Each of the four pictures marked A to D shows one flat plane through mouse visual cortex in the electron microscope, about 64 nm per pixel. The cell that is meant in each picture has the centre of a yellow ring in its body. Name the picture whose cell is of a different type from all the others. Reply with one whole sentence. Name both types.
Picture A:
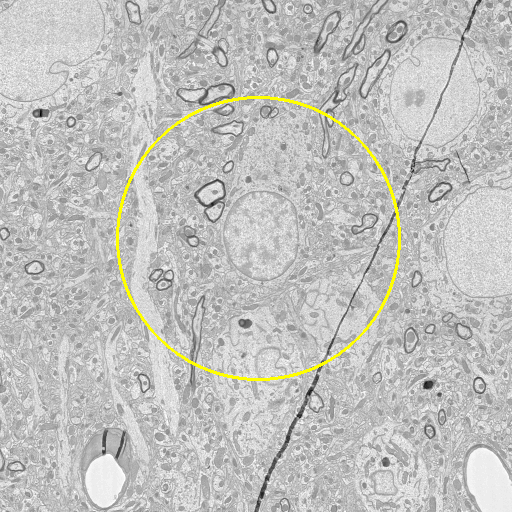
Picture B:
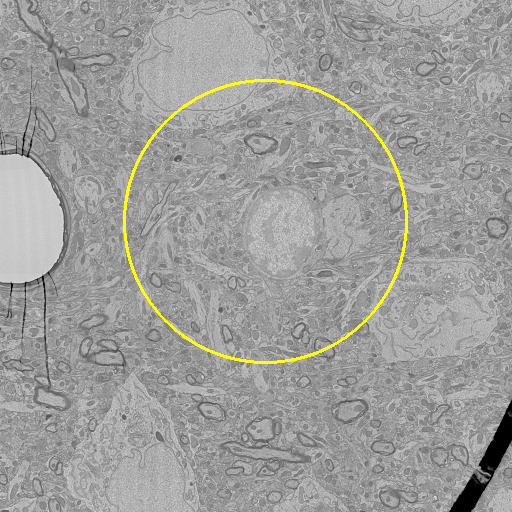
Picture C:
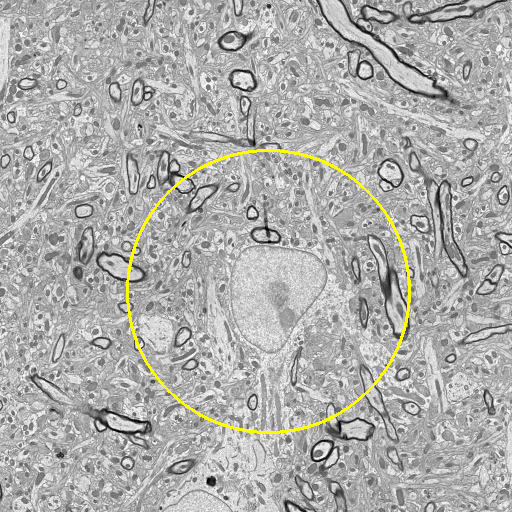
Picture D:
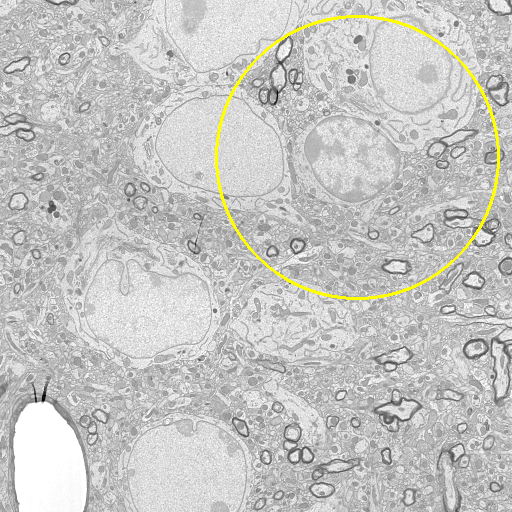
The others show oligodendrocytes, but picture C shows an astrocyte.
